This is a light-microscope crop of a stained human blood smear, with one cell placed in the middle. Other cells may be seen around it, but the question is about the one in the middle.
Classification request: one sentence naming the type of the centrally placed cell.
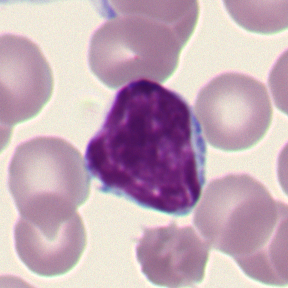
In the crop, the cell of interest at the centre is a typical lymphocyte.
